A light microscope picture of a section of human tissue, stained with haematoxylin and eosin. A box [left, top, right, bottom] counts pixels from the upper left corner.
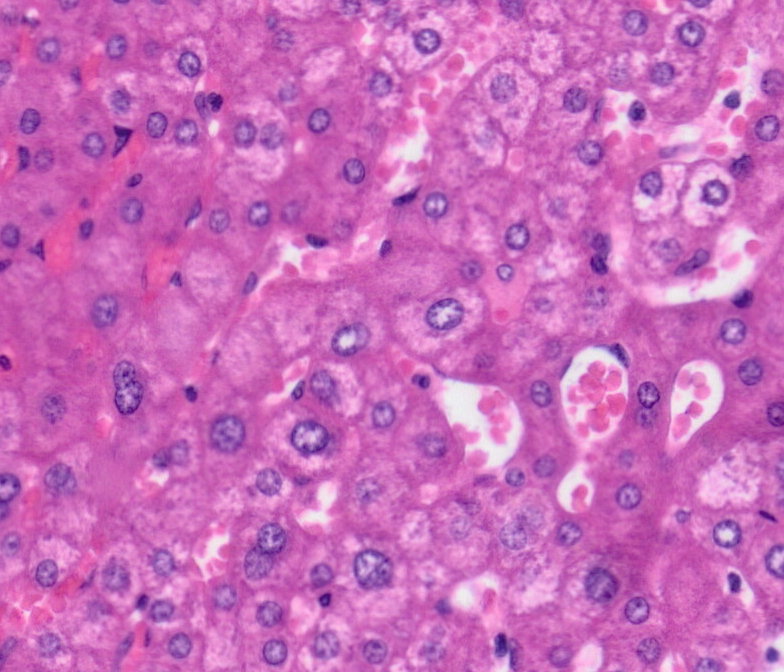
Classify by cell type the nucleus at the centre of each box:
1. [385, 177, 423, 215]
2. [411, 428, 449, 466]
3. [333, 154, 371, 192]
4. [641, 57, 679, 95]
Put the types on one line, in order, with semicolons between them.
fibroblast or stellate cell; hepatocyte; hepatocyte; hepatocyte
